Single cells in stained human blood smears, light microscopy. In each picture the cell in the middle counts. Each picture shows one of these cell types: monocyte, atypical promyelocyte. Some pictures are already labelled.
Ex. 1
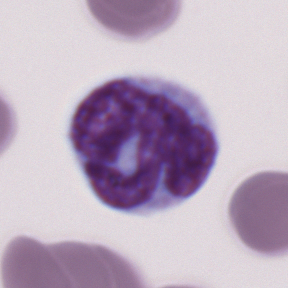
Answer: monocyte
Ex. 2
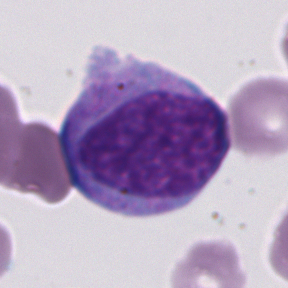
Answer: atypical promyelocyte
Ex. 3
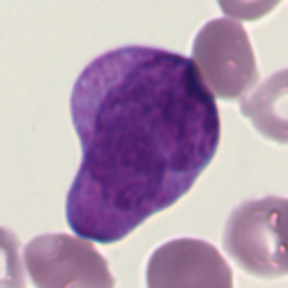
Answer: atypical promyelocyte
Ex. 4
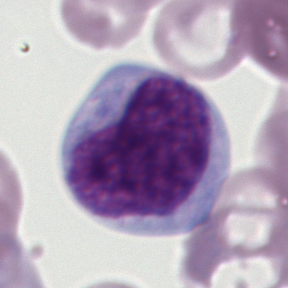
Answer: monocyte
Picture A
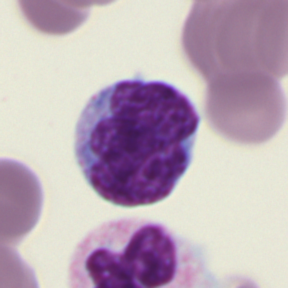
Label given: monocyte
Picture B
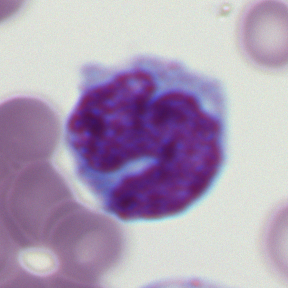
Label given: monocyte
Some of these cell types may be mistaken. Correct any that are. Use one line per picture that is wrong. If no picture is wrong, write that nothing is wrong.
Every label is right.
